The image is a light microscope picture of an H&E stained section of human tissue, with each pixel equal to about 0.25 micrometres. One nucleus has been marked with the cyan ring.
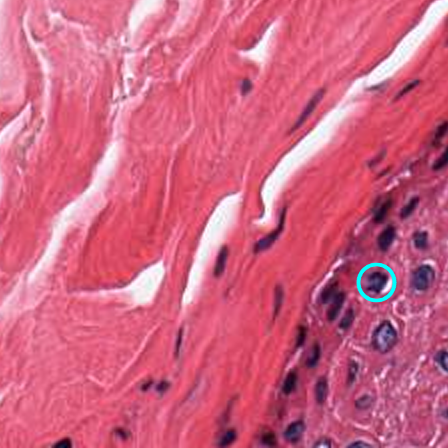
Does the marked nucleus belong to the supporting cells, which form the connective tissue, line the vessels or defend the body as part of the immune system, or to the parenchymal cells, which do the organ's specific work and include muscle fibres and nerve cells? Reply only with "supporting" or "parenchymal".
parenchymal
